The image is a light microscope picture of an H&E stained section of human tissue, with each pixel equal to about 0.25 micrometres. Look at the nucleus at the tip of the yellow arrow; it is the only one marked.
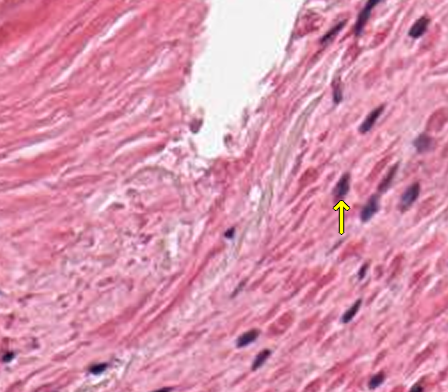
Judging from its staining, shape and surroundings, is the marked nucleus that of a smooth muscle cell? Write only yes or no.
yes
